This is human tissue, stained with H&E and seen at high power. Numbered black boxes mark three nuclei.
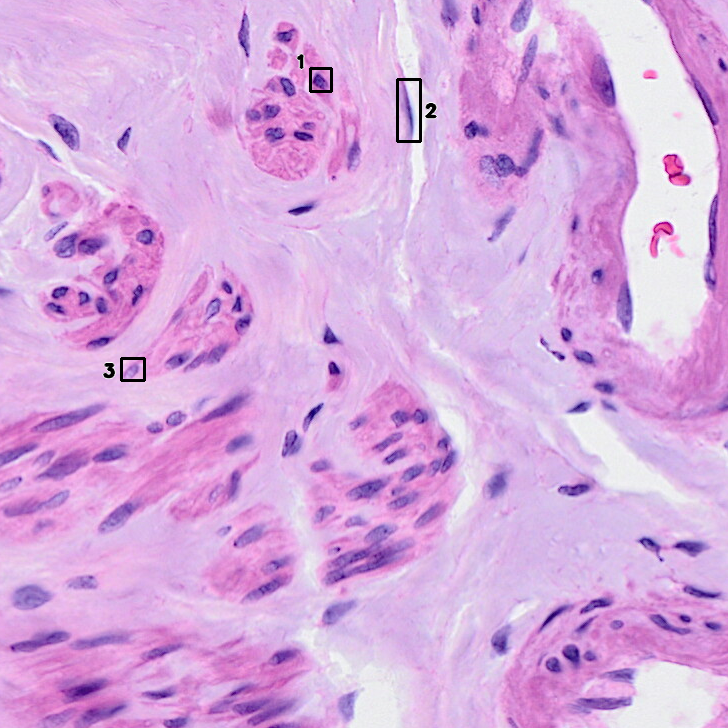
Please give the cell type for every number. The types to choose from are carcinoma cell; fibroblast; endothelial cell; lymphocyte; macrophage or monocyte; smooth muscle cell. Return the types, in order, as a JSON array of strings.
["smooth muscle cell", "fibroblast", "smooth muscle cell"]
